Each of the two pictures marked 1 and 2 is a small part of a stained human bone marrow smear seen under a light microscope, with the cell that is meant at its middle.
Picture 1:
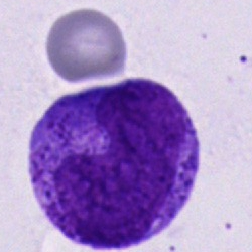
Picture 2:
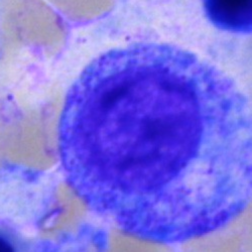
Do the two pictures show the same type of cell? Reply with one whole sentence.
Yes, both cells are promyelocytes.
